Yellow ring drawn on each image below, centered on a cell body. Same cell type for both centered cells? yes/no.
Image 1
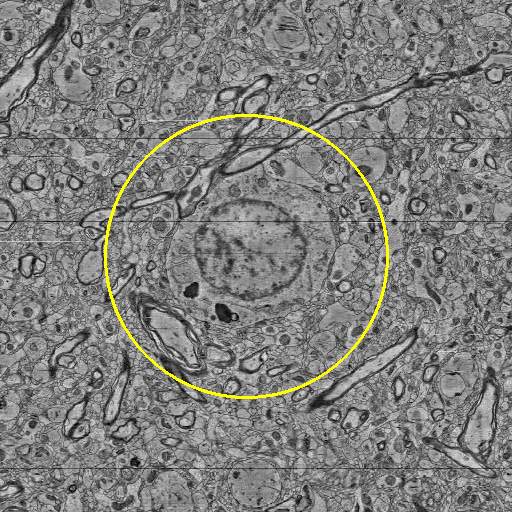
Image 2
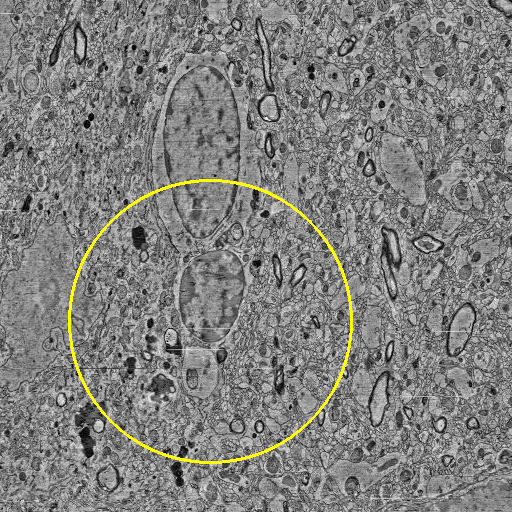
no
